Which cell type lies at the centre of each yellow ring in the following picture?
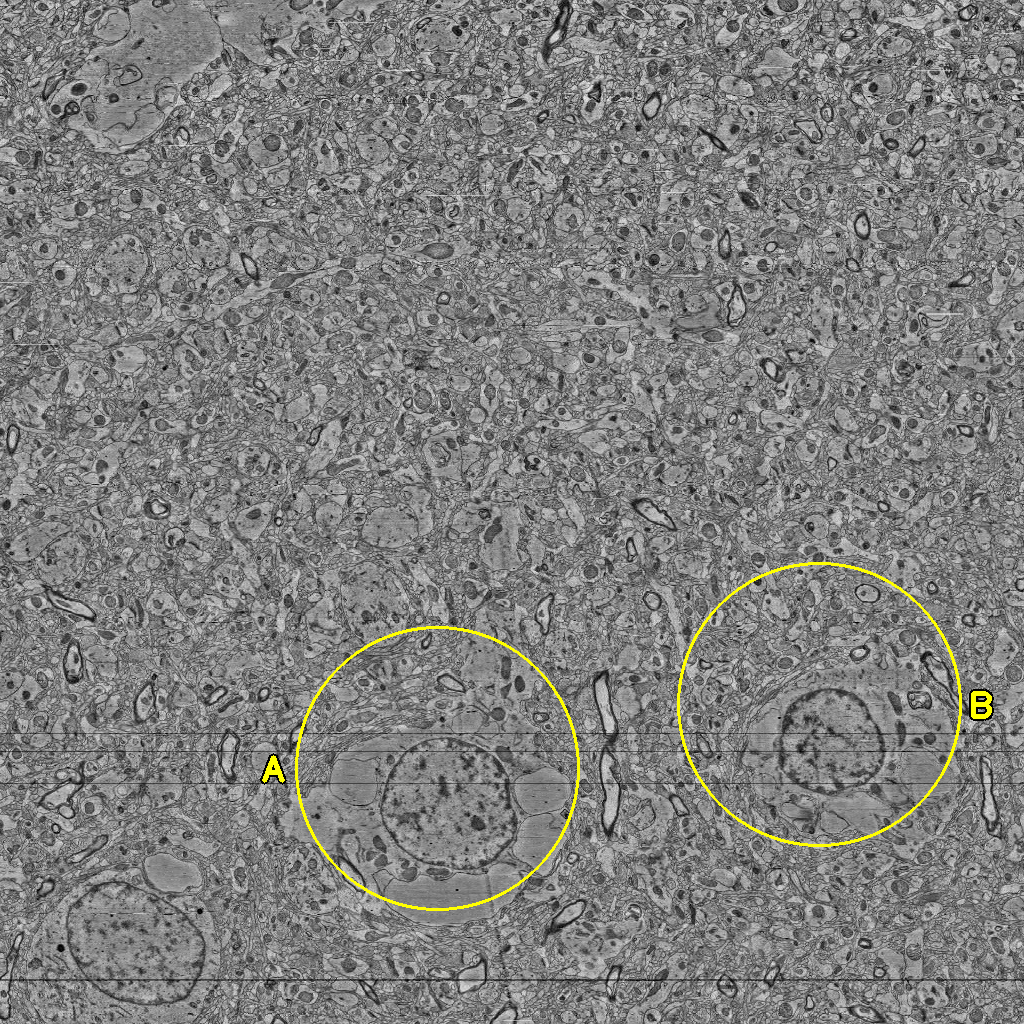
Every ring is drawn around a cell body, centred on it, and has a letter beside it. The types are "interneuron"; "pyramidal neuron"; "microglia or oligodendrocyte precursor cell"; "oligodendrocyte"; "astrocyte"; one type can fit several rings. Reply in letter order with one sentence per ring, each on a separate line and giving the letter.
Ring A marks the cell body of an astrocyte.
Ring B marks the cell body of an astrocyte.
